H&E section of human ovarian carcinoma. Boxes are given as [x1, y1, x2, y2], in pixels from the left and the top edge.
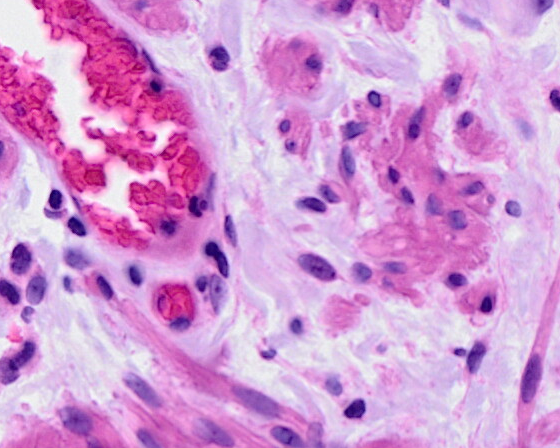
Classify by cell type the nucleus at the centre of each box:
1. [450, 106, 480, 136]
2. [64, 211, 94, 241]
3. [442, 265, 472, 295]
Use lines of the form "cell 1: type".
cell 1: smooth muscle cell
cell 2: lymphocyte
cell 3: smooth muscle cell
